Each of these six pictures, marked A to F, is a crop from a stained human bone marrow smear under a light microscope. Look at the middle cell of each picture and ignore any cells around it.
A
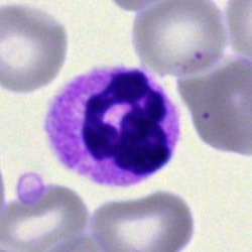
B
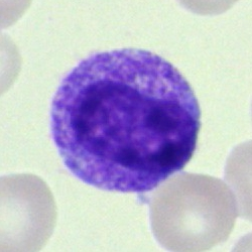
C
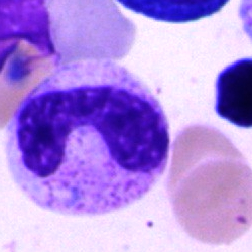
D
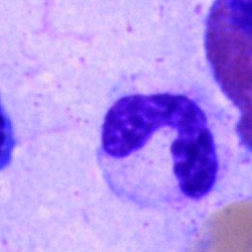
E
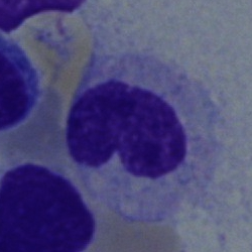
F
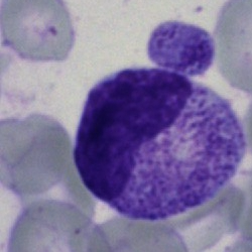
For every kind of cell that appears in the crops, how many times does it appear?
band neutrophil: 3
metamyelocyte: 2
segmented neutrophil: 1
